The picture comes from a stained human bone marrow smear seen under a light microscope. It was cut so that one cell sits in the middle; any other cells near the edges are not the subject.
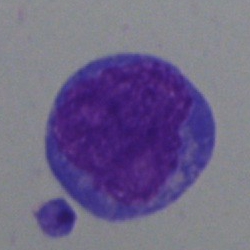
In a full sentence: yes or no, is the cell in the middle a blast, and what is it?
Yes, a blast is what the central cell is.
